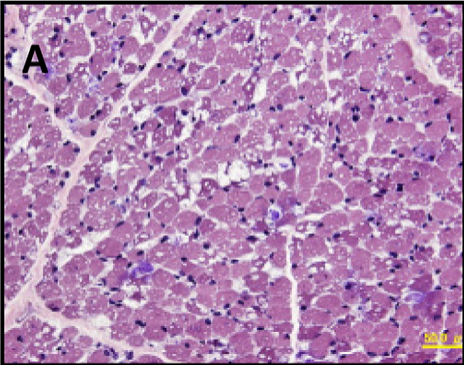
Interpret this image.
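This is skeletal muscle cut across, showing closely packed polygonal pink muscle fibers with dark nuclei at their edges, divided into fascicles by thin pale connective tissue septa. Many fibers contain small pale clear spaces within their cytoplasm. A few scattered fibers show purplish, bluish material within them.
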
